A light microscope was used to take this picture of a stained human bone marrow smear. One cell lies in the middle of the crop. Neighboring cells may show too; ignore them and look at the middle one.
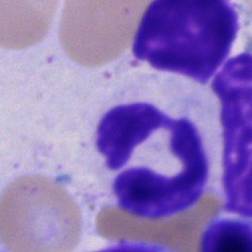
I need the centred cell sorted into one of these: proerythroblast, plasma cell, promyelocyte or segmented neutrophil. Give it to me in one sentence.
Occupying the centre of the crop is a segmented neutrophil.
